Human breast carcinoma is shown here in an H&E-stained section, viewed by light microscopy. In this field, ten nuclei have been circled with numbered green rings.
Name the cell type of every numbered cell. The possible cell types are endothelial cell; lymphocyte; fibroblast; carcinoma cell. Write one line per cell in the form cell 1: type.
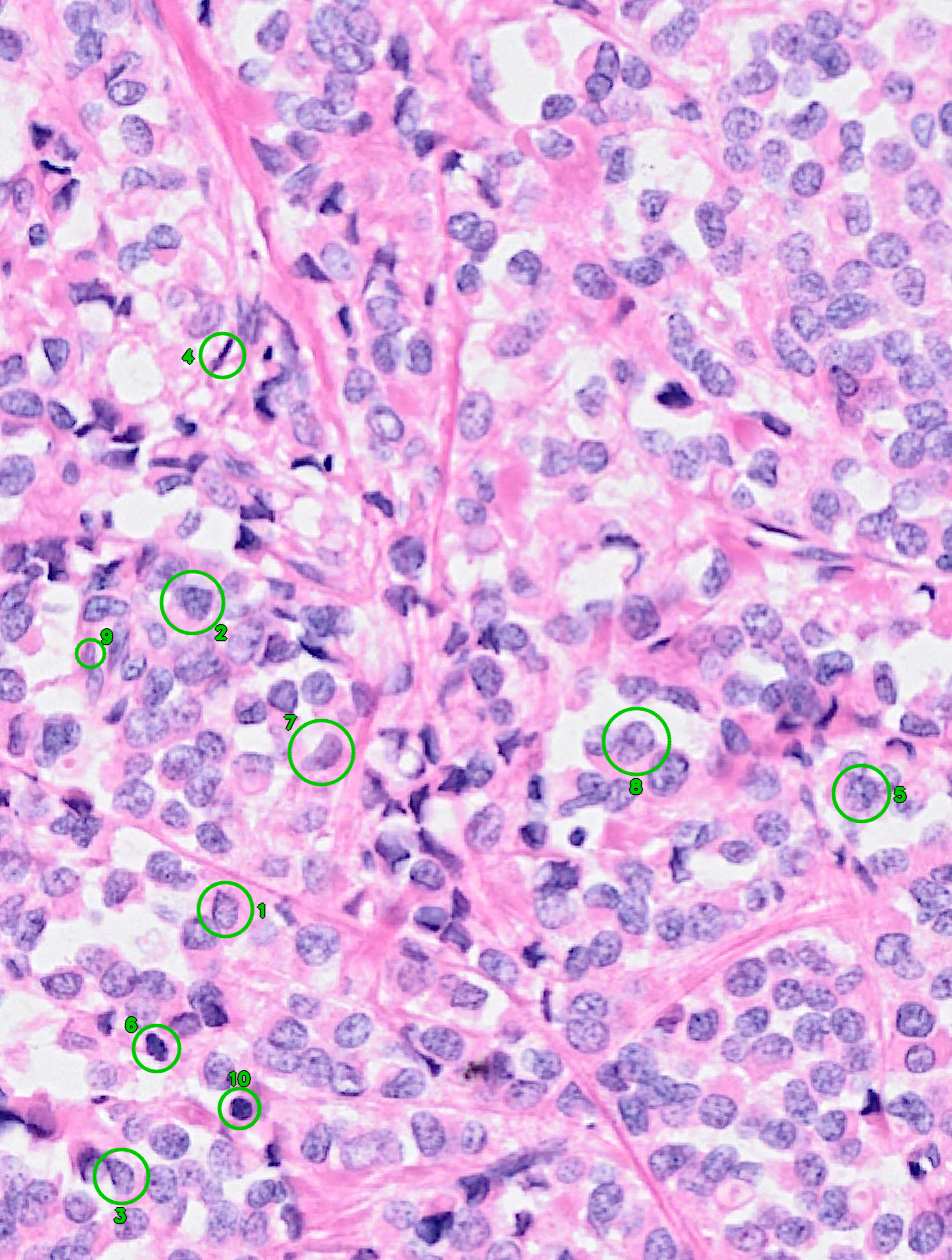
cell 1: carcinoma cell
cell 2: carcinoma cell
cell 3: carcinoma cell
cell 4: fibroblast
cell 5: carcinoma cell
cell 6: lymphocyte
cell 7: carcinoma cell
cell 8: carcinoma cell
cell 9: endothelial cell
cell 10: lymphocyte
